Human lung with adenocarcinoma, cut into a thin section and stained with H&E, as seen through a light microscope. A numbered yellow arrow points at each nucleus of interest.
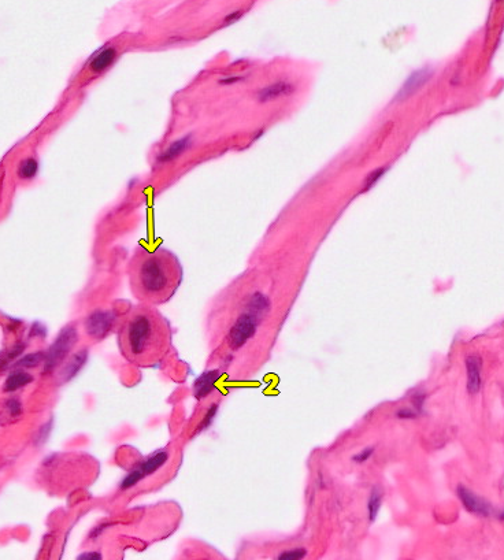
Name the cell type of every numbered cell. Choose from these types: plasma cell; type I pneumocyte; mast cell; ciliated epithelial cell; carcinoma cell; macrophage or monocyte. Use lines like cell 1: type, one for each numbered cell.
cell 1: macrophage or monocyte
cell 2: type I pneumocyte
